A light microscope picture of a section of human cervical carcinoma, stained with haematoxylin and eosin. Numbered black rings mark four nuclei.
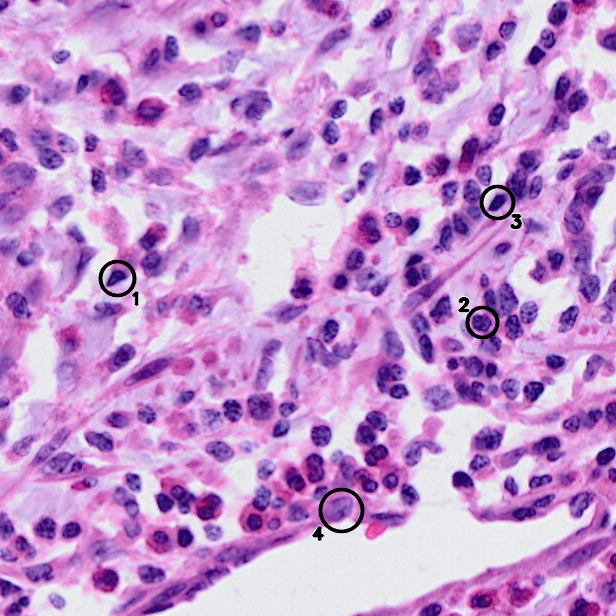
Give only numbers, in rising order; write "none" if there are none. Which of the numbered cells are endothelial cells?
4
